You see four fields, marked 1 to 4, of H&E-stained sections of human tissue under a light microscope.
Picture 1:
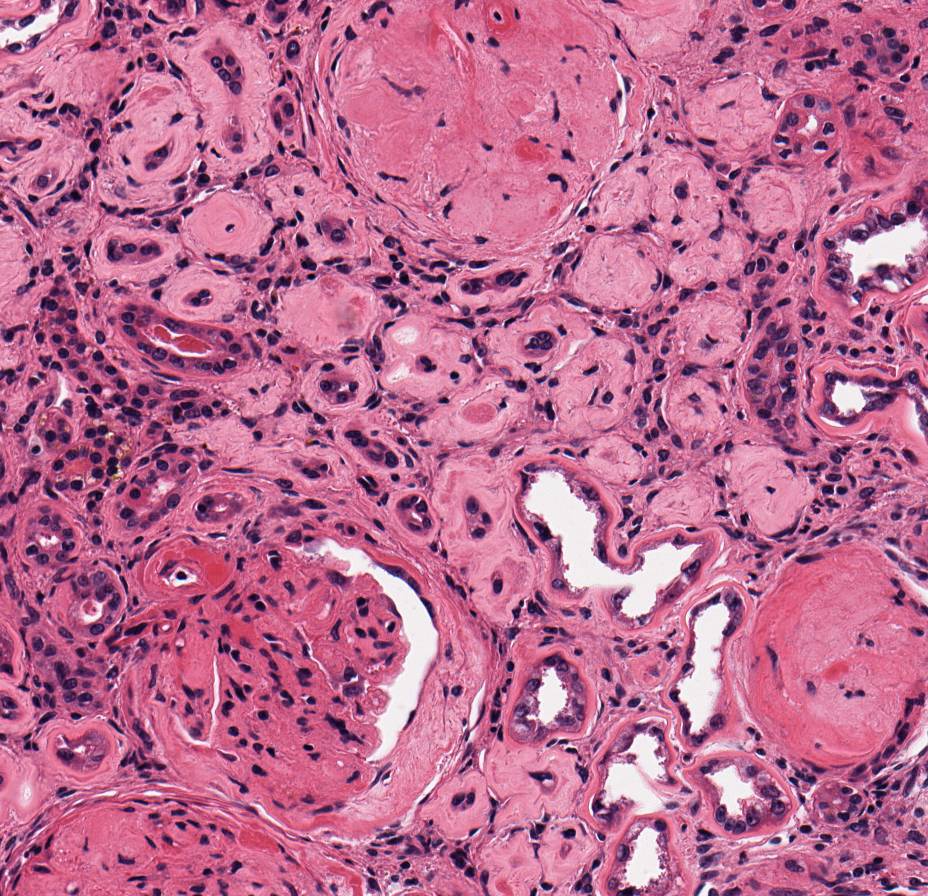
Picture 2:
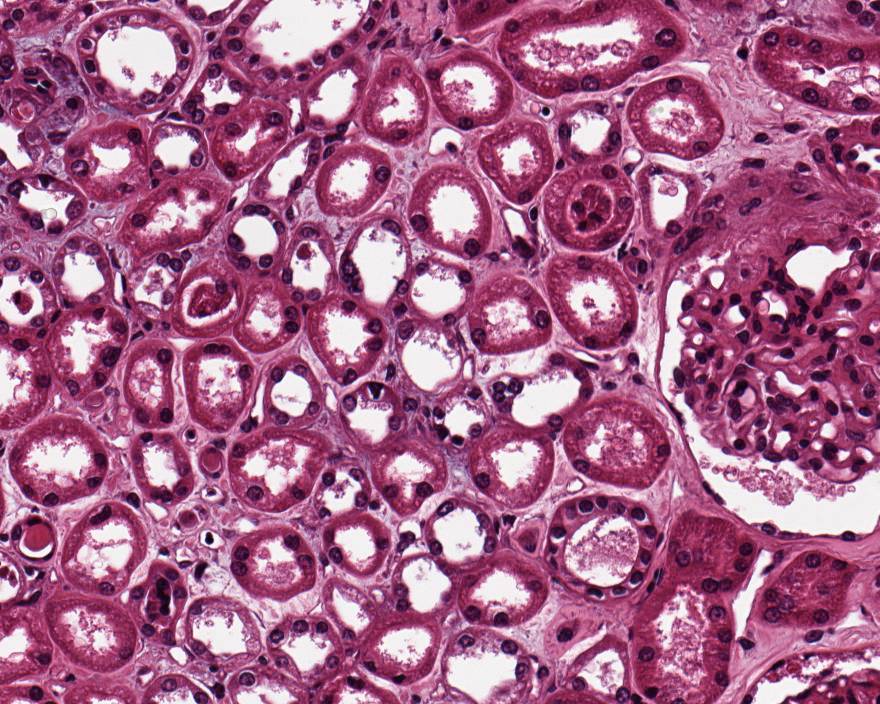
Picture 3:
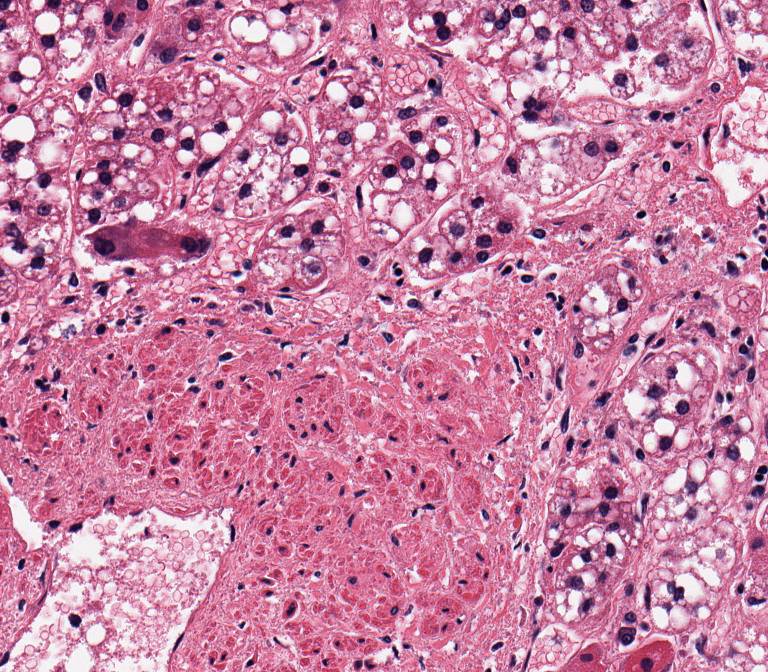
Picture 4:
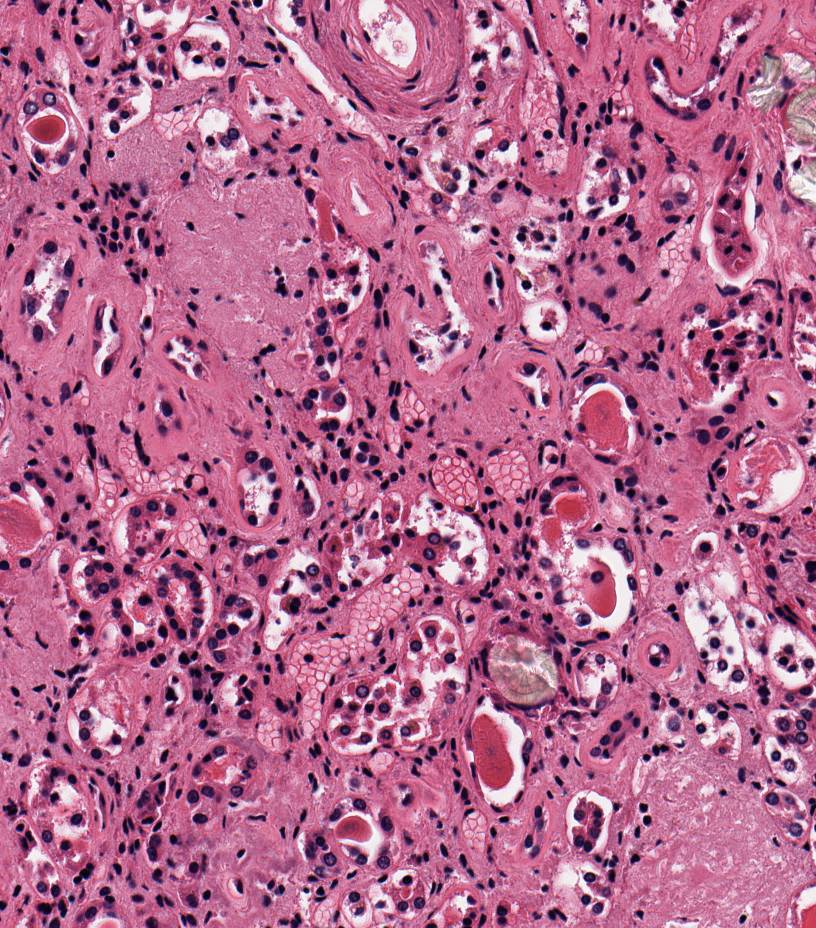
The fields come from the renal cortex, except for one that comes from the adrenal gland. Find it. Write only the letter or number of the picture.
3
